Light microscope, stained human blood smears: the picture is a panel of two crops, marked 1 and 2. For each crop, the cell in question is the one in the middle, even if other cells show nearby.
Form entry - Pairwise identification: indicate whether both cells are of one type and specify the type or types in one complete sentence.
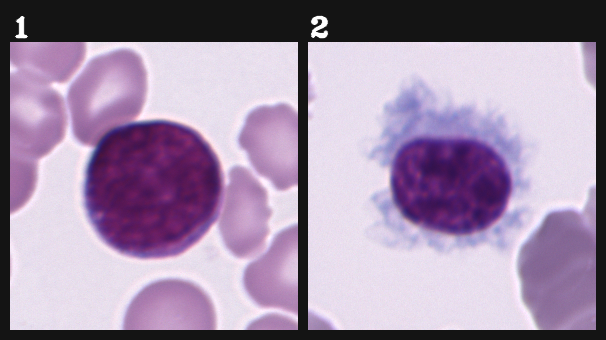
No, crop 1 depicts a myeloblast; crop 2 depicts a hairy cell.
